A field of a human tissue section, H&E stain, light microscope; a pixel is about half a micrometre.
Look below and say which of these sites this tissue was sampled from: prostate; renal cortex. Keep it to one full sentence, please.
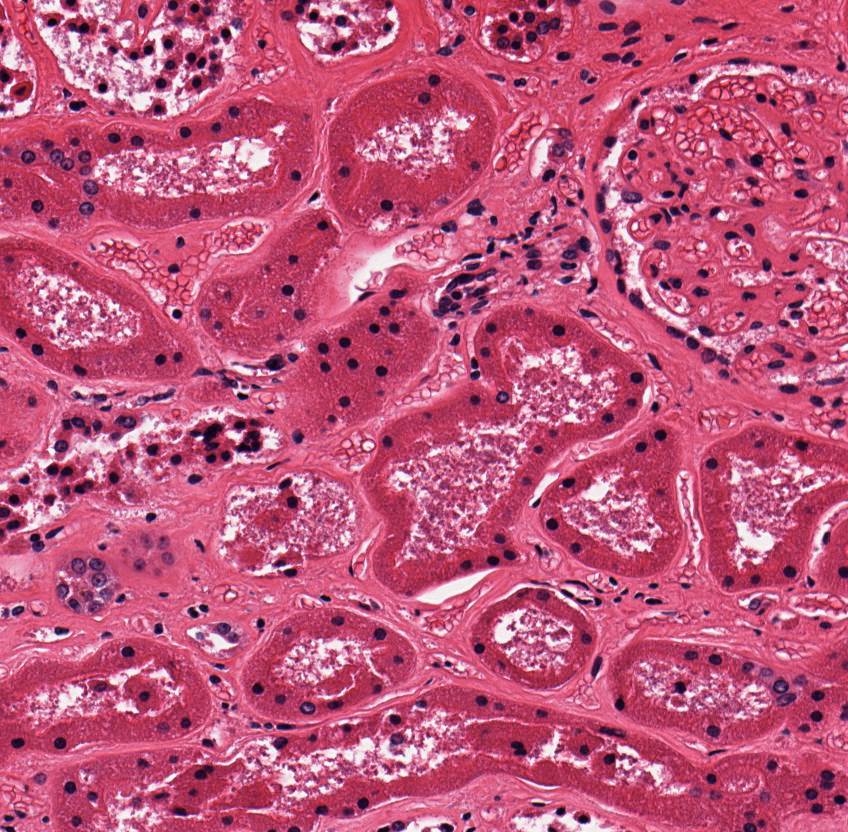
In this section is tissue sampled from the renal cortex.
